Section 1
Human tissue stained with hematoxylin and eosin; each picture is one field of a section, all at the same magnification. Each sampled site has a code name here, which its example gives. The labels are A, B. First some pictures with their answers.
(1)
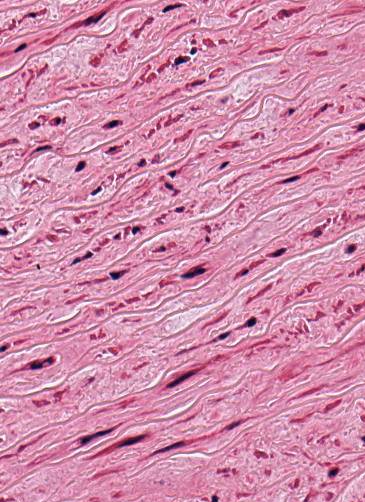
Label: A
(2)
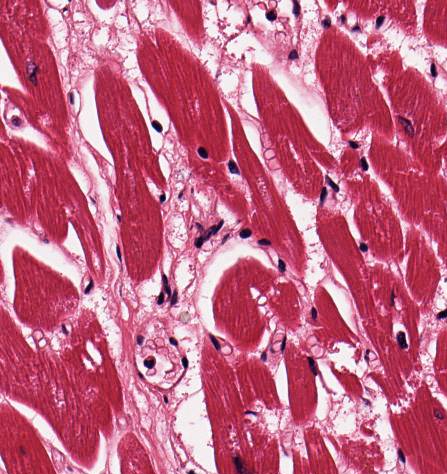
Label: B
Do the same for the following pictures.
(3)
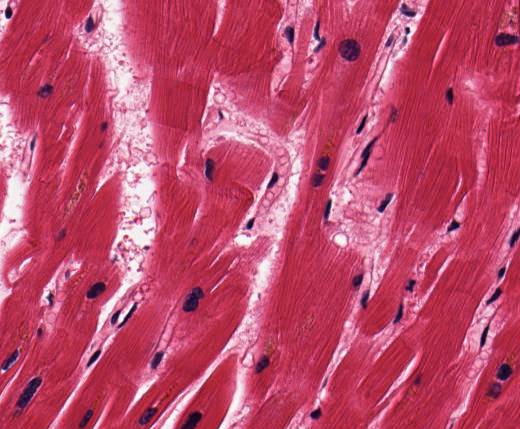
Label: B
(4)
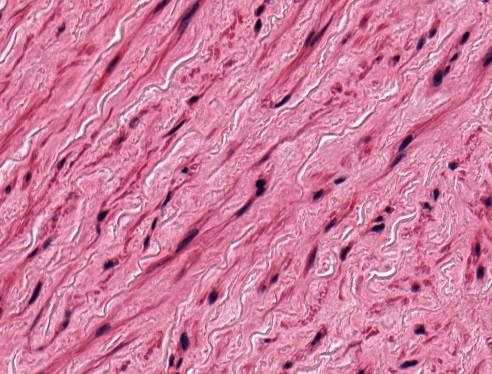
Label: A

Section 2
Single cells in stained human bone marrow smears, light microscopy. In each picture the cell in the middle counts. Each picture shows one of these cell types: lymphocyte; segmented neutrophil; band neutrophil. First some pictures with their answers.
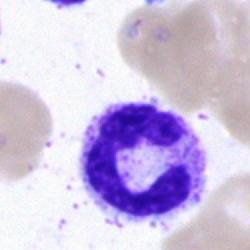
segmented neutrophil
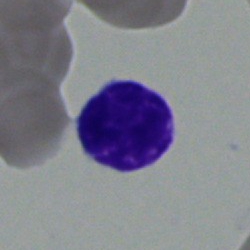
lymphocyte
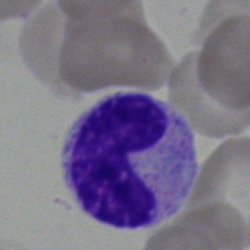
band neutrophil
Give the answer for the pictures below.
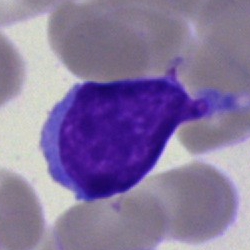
lymphocyte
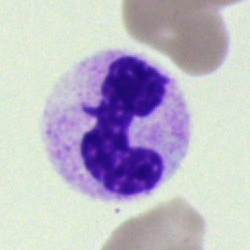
band neutrophil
